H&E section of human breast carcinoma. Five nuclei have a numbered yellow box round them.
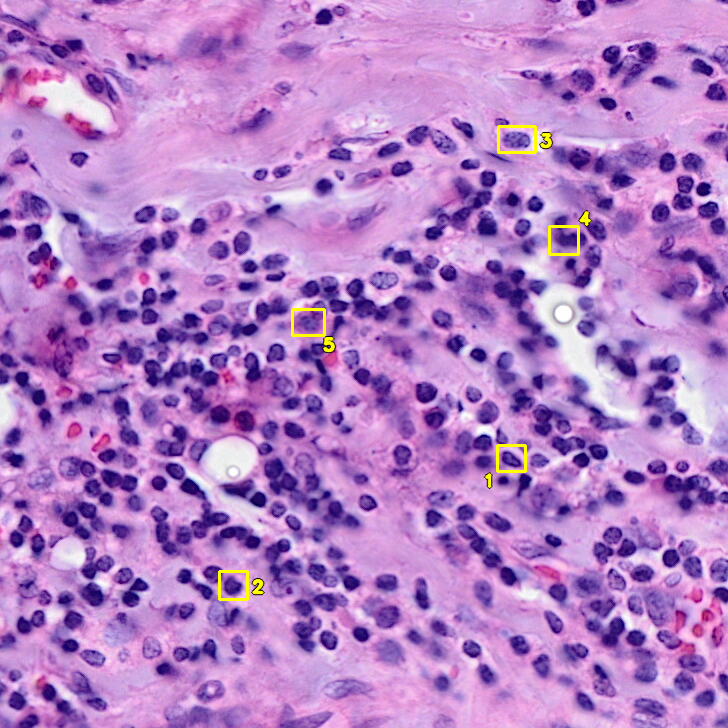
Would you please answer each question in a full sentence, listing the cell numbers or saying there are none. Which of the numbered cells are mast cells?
Into the category of mast cells fall the cells numbered 3 and 5.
